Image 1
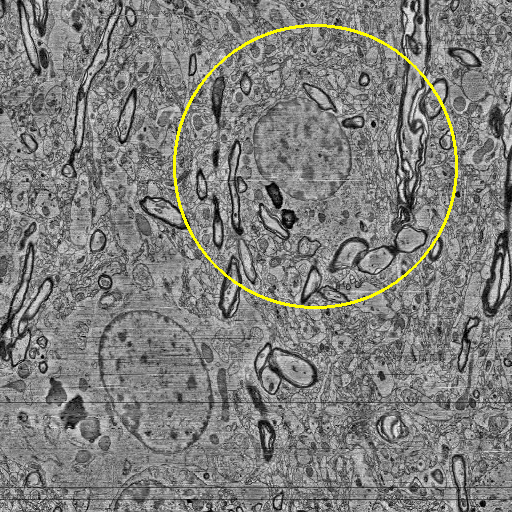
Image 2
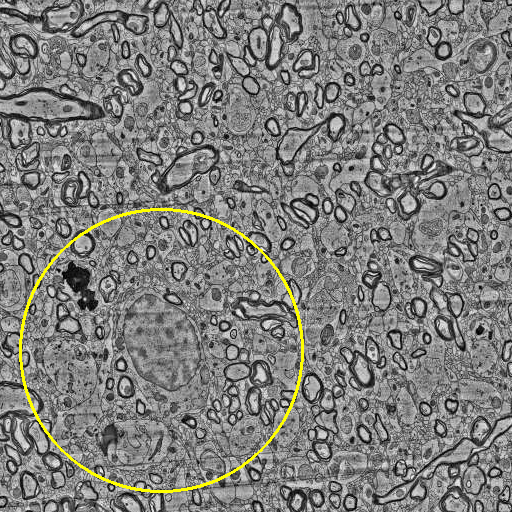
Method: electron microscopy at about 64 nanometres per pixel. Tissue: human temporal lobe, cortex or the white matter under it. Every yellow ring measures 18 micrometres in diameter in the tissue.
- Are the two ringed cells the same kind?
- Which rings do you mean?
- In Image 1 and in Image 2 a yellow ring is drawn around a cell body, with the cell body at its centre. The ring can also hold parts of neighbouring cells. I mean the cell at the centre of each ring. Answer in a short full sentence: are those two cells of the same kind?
Yes, both cells are of the same kind.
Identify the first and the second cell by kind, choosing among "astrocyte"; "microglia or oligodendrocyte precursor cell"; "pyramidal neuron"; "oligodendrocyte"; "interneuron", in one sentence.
Both cells are the same kind, each one being an oligodendrocyte.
